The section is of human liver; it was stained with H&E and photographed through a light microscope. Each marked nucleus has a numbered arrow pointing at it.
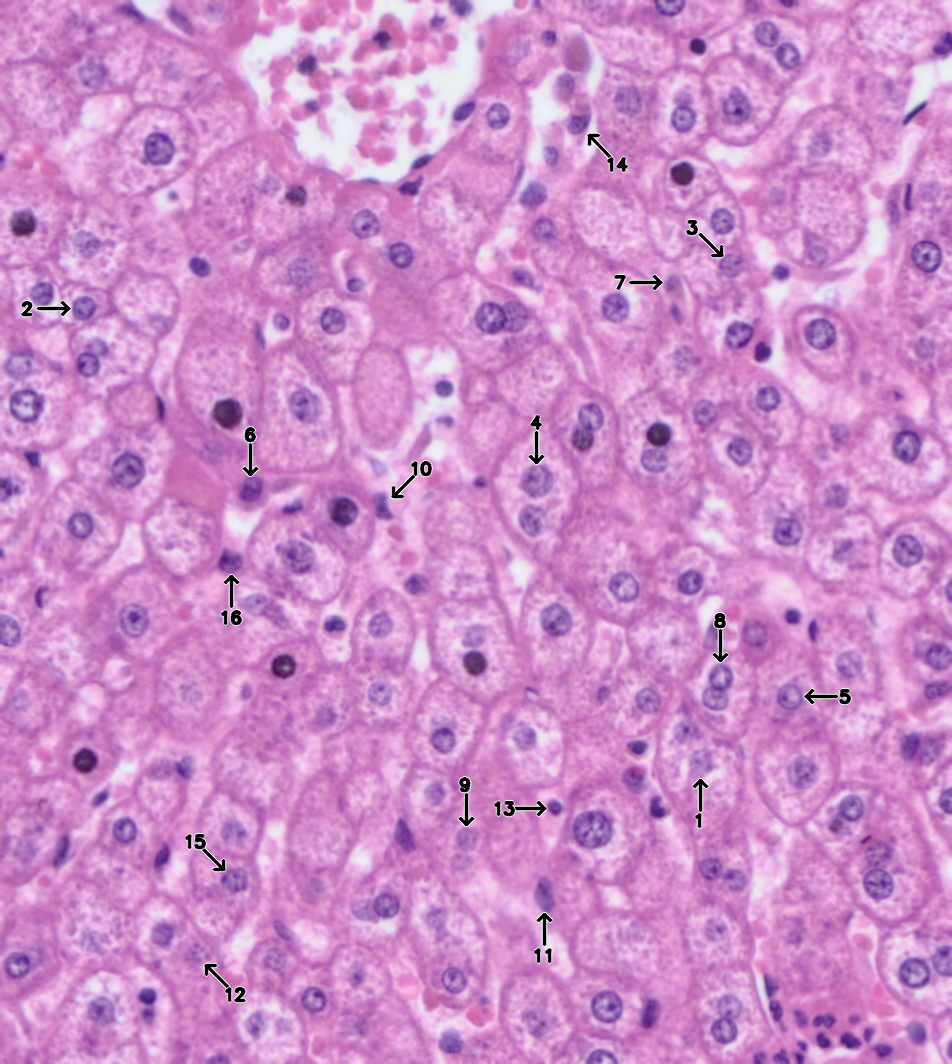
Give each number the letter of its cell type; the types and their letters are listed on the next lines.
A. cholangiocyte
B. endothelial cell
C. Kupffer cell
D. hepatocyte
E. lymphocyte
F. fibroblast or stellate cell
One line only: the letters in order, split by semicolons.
D; D; D; D; D; C; C; D; D; B; F; D; E; C; D; B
